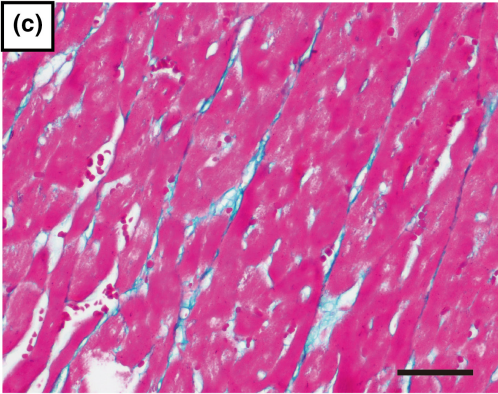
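Heart muscle with red-magenta cardiomyocytes running diagonally in parallel bundles. Thin blue-green strands of collagen fibers follow the narrow spaces between the muscle fibers, with a slightly wider blue-green patch near the lower centre. Small rounded cells with dark staining lie in short rows within the clefts between fibers.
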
